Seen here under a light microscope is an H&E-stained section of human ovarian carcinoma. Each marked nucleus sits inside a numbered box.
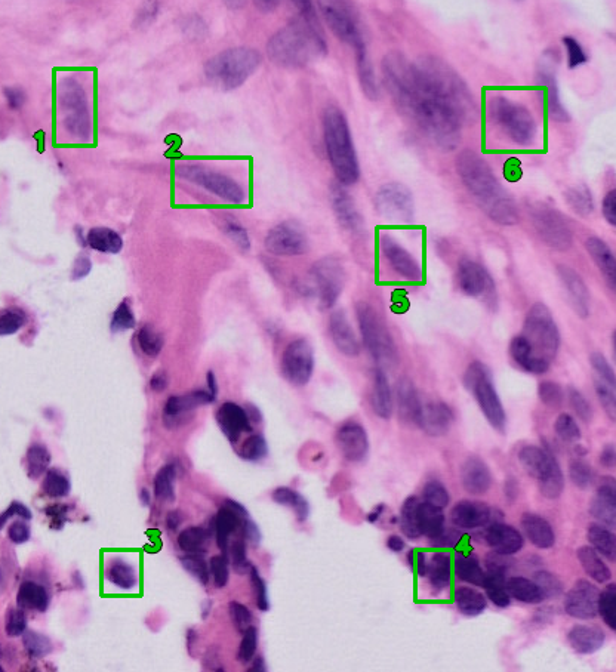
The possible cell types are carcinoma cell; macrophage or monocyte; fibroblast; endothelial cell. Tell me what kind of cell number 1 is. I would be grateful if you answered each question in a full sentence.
Number 1 is placed on a fibroblast here.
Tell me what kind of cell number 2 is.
The cell that is numbered 2 is a fibroblast.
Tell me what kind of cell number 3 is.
The cell indicated by marker 3 is a carcinoma cell in this section.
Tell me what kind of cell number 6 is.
The numbered cell 6 in this field is a fibroblast.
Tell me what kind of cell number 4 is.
The cell numbered 4 has been identified as a carcinoma cell.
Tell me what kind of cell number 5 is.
The cell referenced by the number 5 is a fibroblast in this field.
